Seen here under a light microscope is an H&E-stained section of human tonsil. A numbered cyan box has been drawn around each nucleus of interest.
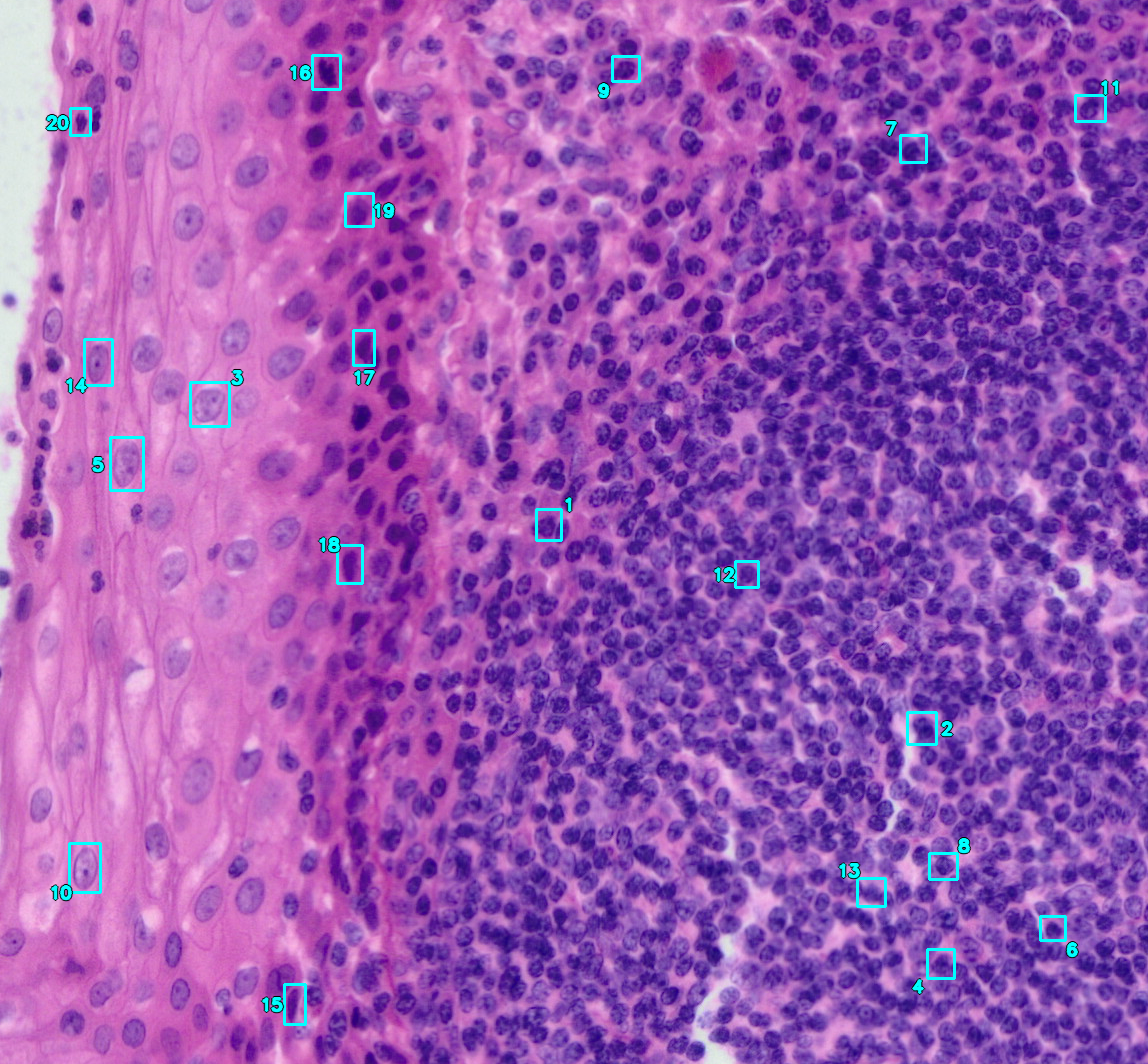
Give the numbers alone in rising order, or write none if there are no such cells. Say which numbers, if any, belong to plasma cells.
1, 9, 11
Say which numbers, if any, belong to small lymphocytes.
2, 4, 6, 7, 8, 12, 13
